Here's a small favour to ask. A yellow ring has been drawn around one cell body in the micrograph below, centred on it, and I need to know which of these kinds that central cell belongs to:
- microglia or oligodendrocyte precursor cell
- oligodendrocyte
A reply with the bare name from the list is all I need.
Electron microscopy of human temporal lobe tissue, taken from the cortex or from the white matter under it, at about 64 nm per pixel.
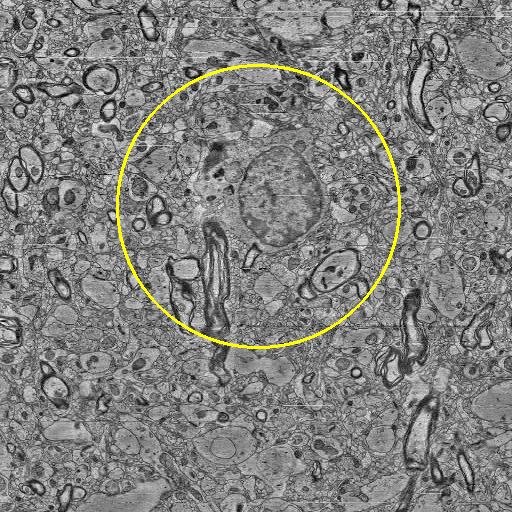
oligodendrocyte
